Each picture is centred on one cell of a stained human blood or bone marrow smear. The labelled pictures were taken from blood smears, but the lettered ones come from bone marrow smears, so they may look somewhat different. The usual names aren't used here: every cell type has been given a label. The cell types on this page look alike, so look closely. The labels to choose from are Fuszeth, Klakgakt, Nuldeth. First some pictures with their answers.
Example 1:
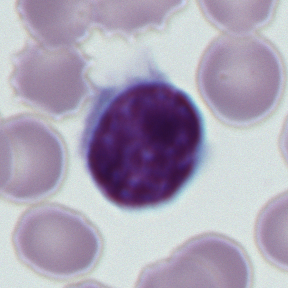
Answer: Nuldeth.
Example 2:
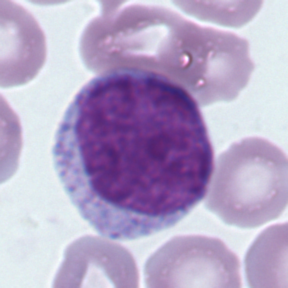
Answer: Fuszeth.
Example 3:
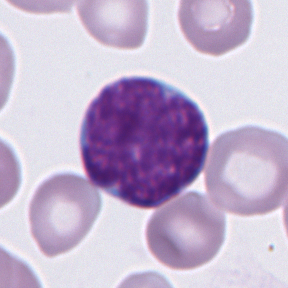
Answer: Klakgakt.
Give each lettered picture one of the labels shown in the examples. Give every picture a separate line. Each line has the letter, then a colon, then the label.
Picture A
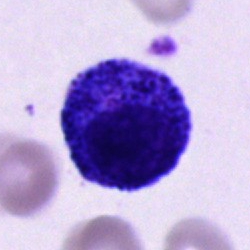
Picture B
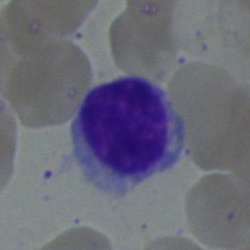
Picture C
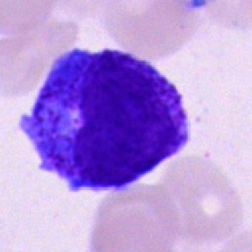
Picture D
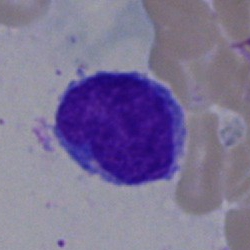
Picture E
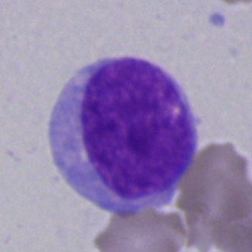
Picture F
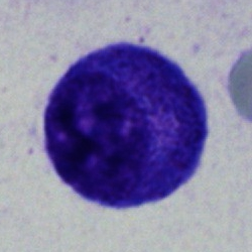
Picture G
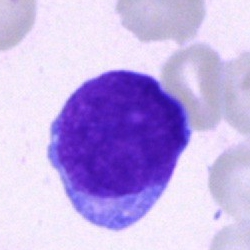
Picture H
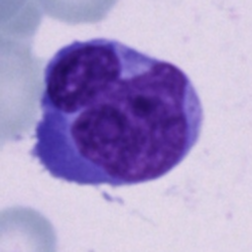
A: Fuszeth.
B: Nuldeth.
C: Fuszeth.
D: Klakgakt.
E: Klakgakt.
F: Fuszeth.
G: Klakgakt.
H: Klakgakt.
